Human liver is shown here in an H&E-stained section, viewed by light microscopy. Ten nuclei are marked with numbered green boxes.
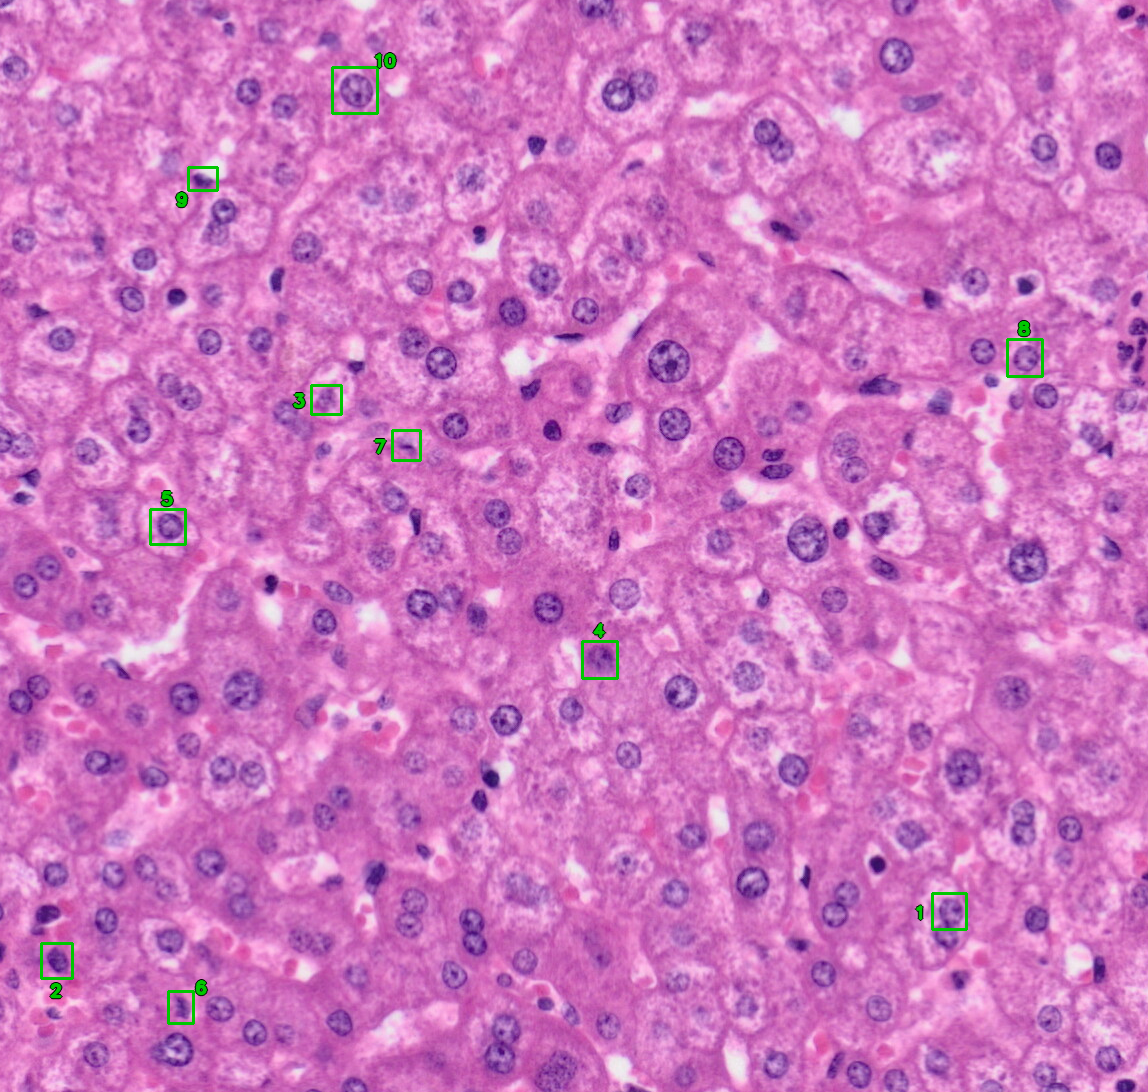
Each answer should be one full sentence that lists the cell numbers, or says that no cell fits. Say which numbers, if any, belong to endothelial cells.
Identification: the cells with numbers 6, 7 and 9 are endothelial cells.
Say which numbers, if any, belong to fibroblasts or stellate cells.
Cell 2 is the only numbered cell that is a fibroblast or stellate cell.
